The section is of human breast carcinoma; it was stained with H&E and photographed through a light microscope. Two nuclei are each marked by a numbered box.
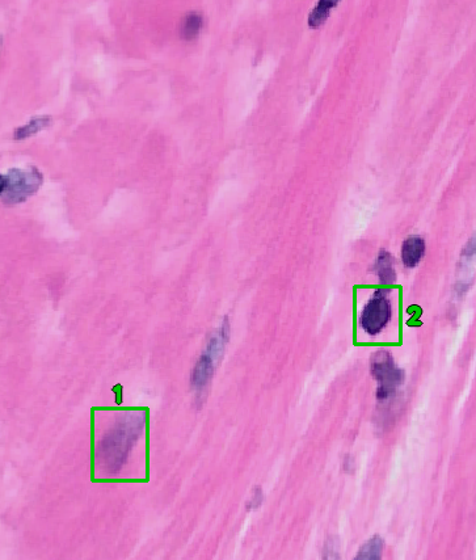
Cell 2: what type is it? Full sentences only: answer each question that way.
To a lymphocyte belongs the nucleus marked 2.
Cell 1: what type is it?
Recognised here as a fibroblast is the cell numbered 1.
